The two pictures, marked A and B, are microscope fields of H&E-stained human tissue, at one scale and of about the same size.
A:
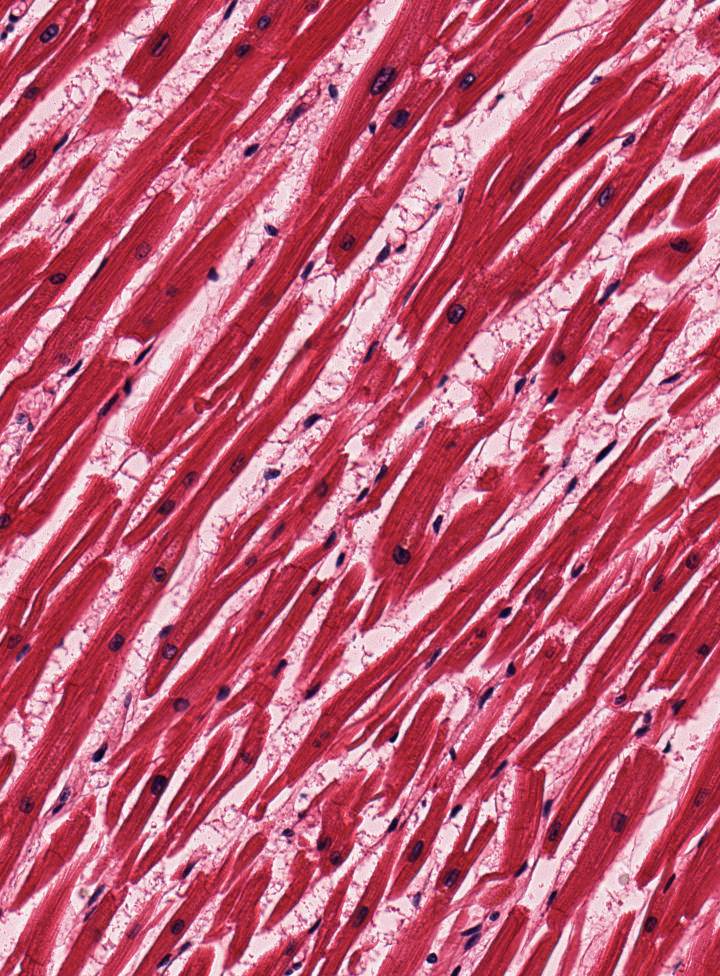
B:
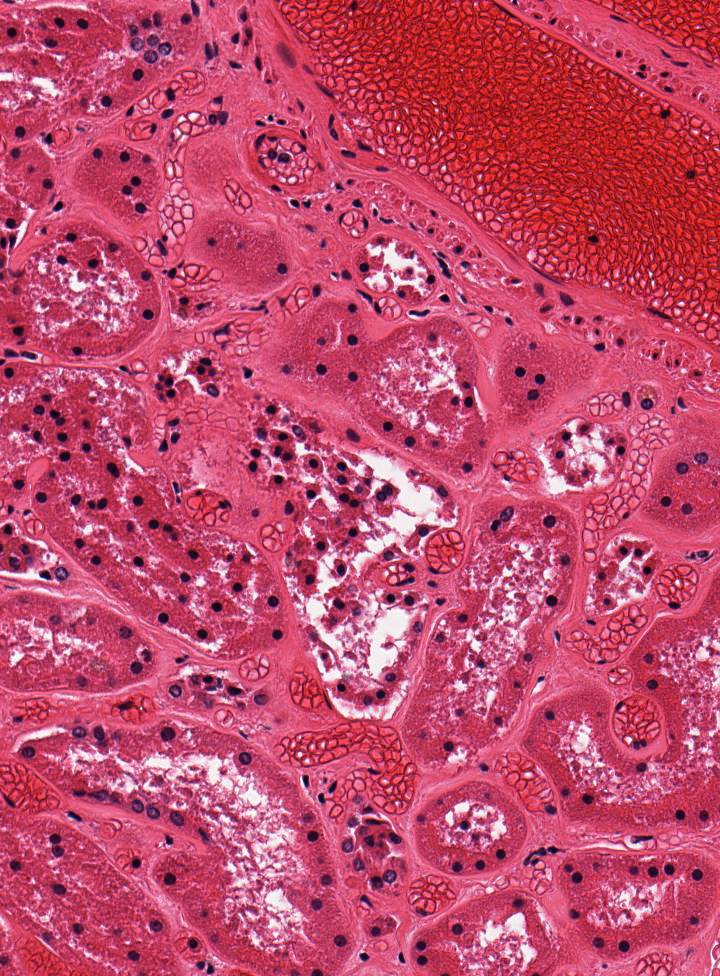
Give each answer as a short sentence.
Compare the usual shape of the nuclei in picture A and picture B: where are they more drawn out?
It is picture A whose nuclei are the more elongated.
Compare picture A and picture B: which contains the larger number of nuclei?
Picture B holds more nuclei than picture A.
